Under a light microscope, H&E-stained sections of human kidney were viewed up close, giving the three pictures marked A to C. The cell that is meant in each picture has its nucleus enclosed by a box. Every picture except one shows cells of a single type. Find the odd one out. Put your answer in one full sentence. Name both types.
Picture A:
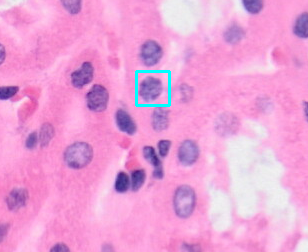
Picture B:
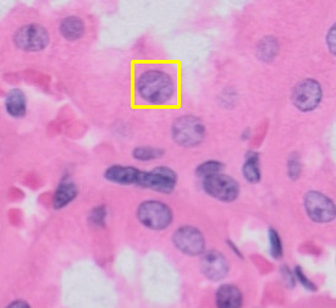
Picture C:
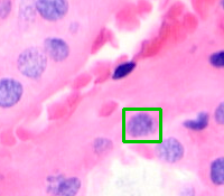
Picture B differs, because its cell is a proximal tubule cell and the rest are “loop of Henle or distal tubule cells”.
